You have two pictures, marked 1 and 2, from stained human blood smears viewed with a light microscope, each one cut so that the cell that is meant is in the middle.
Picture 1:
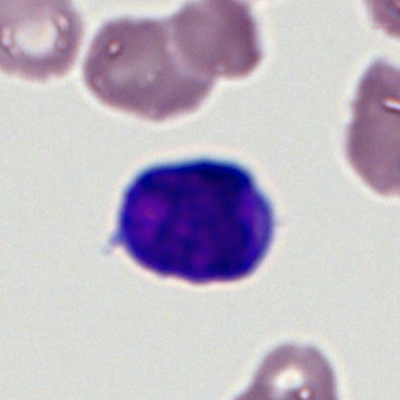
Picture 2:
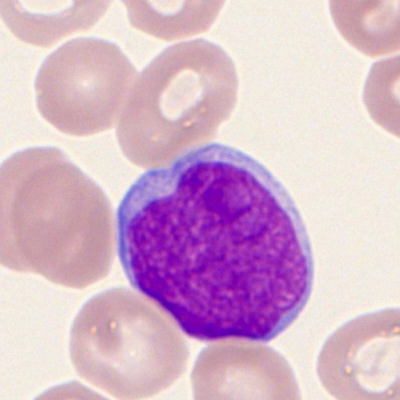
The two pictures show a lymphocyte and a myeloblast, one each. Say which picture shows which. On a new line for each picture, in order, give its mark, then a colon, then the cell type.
1: lymphocyte
2: myeloblast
